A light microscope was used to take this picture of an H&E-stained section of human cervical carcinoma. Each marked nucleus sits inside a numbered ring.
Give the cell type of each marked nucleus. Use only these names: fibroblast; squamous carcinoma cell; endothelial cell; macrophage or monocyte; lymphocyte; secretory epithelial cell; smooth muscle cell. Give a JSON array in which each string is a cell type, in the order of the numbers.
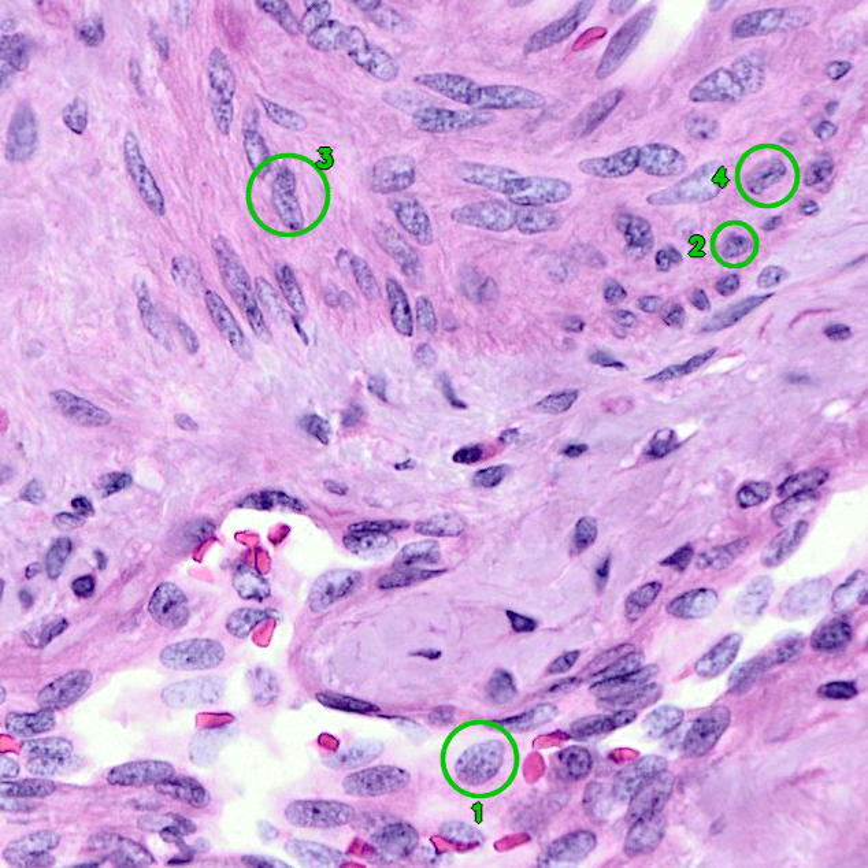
["endothelial cell", "smooth muscle cell", "smooth muscle cell", "smooth muscle cell"]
